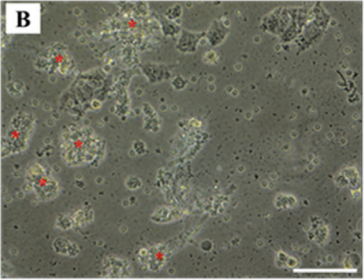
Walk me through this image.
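Clumps of small, round, phase-bright bodies are scattered across the dish, many with a yellowish glowing rim. Only a few flatter, greyer cell fragments remain between the clumps, with irregular torn outlines. The field looks granular and uneven, with debris lying loose rather than as spread, adherent cells.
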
